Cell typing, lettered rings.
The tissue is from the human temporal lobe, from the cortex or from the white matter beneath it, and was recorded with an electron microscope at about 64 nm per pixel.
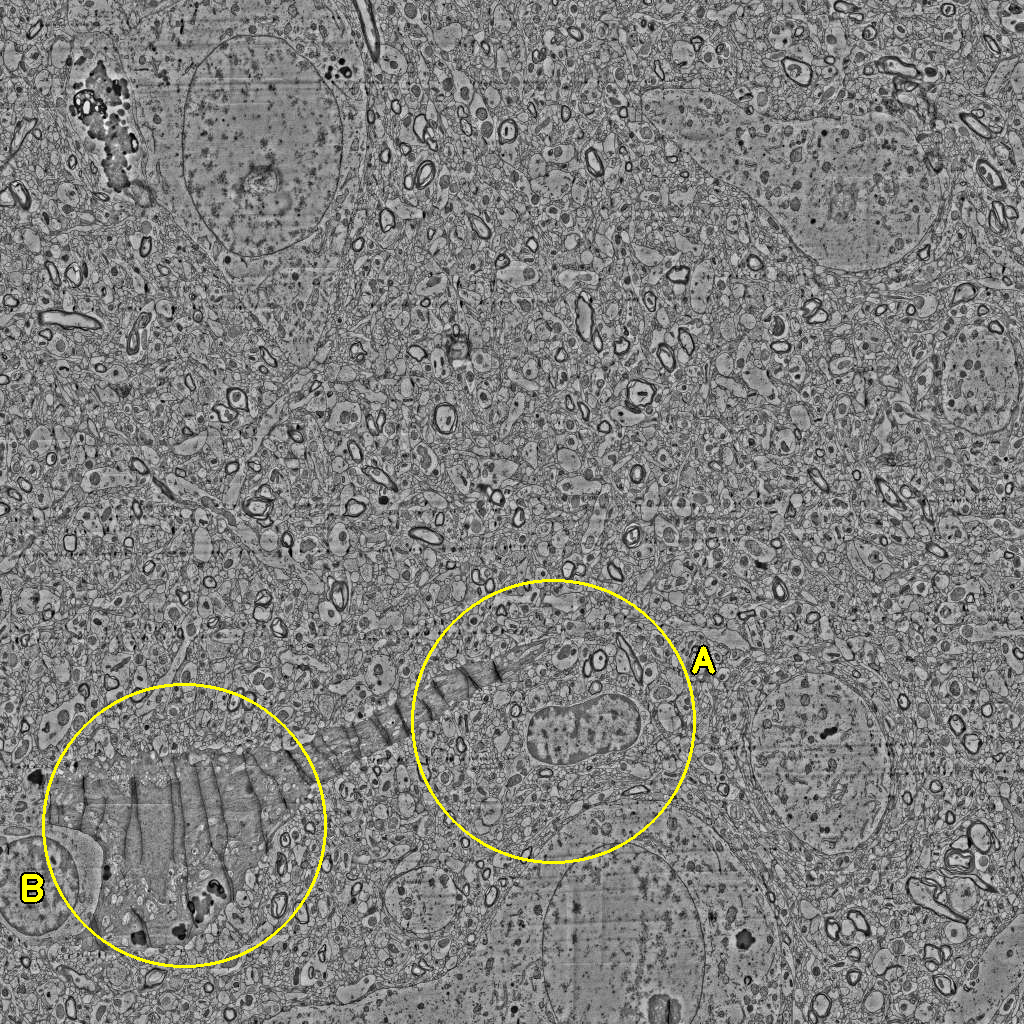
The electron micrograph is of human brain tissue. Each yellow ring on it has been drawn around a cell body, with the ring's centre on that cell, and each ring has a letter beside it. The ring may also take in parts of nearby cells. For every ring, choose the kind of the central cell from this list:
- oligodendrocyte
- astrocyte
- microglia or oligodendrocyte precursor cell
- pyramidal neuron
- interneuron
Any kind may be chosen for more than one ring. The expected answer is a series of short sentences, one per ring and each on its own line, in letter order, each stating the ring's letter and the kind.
For ring A, the centred cell is a microglial cell or oligodendrocyte precursor cell.
For ring B, the centred cell is a pyramidal neuron.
